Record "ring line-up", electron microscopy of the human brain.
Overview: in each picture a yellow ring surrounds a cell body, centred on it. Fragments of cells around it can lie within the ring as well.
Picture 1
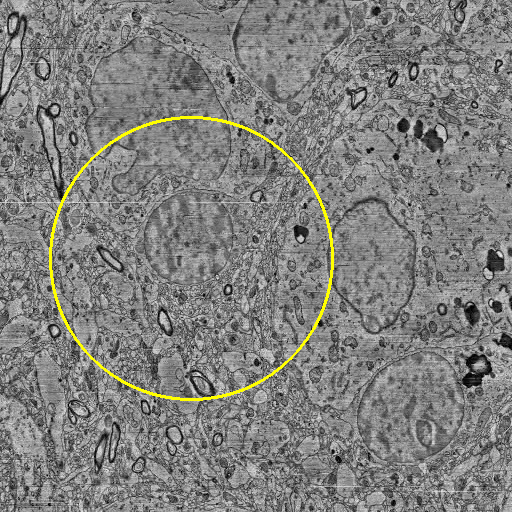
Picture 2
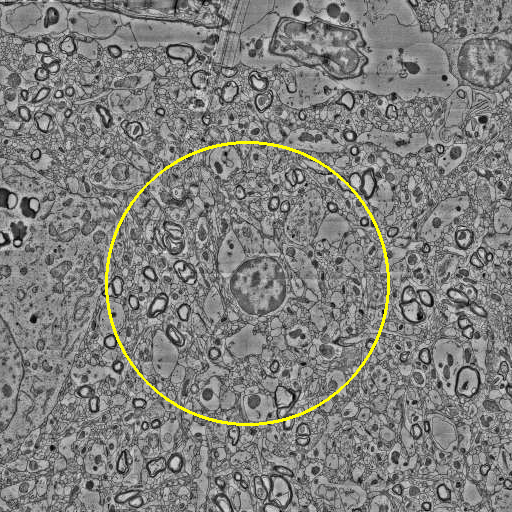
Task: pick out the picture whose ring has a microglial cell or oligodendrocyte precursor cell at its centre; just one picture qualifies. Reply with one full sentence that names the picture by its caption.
Going by the cell at the ring's centre, the right choice is Picture 2.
